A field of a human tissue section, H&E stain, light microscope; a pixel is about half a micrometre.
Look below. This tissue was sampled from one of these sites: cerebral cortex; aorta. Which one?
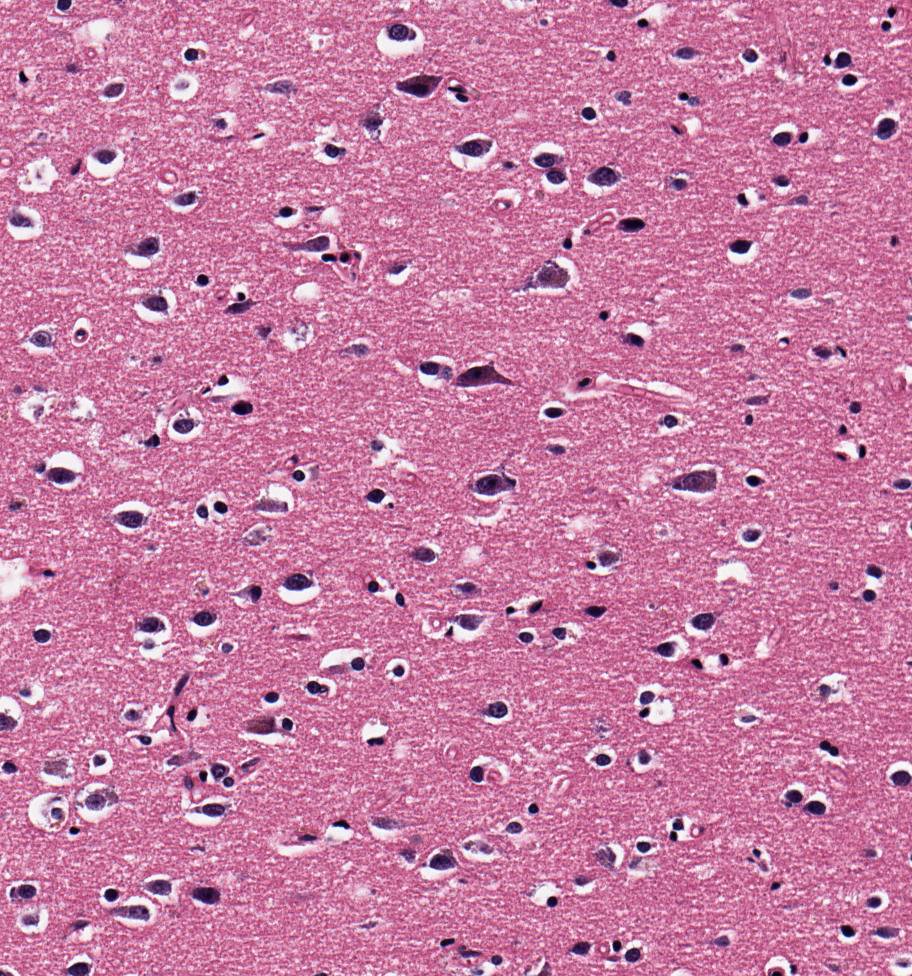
cerebral cortex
